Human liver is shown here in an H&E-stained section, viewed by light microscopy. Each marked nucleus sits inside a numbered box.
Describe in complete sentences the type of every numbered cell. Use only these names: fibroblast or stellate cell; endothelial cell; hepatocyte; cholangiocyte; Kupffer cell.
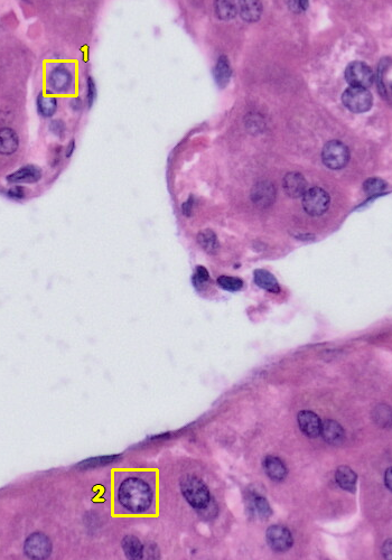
Cell 1 is a cholangiocyte and cell 2 is a hepatocyte.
